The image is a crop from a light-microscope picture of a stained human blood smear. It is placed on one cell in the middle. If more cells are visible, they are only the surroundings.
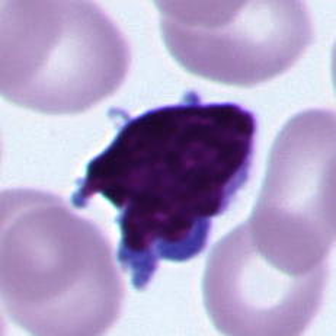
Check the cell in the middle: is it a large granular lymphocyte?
no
